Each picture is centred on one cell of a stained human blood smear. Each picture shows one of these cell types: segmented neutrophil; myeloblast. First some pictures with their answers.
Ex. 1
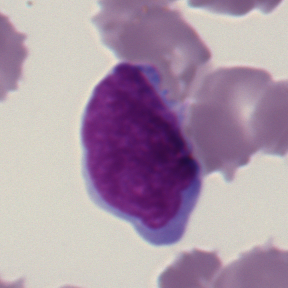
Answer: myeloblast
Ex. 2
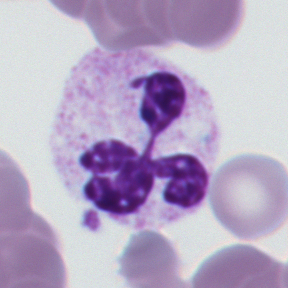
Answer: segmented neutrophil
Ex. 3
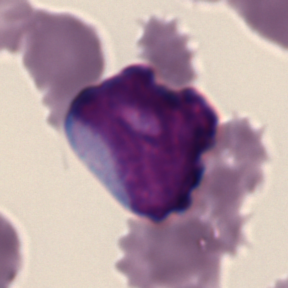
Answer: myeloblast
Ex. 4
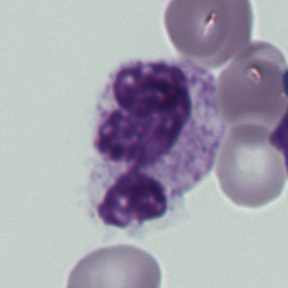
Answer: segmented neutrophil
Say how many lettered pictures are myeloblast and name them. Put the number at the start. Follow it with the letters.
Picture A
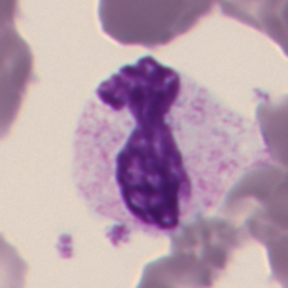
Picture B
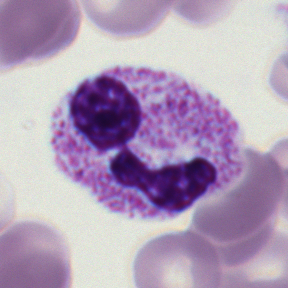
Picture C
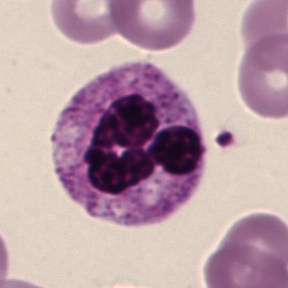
0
